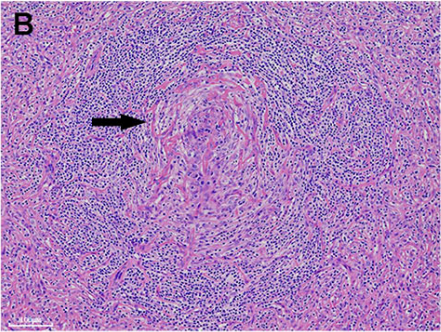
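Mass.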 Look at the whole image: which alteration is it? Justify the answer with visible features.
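Onion-skin-like appearance. Small dark lymphocytes are arranged in concentric rings around a pale centre.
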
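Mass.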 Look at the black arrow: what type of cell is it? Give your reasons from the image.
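The arrow points to a pale pink centre of a nodule with few small dark lymphocytes. The centre holds elongated cells with pale oval nuclei.
Conclusion: follicular dendritic cells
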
